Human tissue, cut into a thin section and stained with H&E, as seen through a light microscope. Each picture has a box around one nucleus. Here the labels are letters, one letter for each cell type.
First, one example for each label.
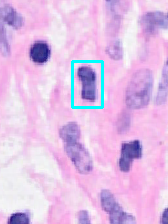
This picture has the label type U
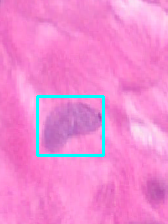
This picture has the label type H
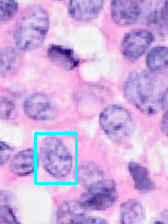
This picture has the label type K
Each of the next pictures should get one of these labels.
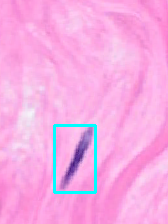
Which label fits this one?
type H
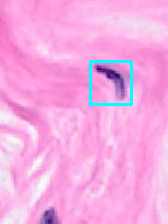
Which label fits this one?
type H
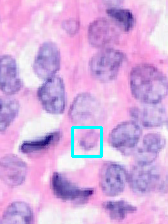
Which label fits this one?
type K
